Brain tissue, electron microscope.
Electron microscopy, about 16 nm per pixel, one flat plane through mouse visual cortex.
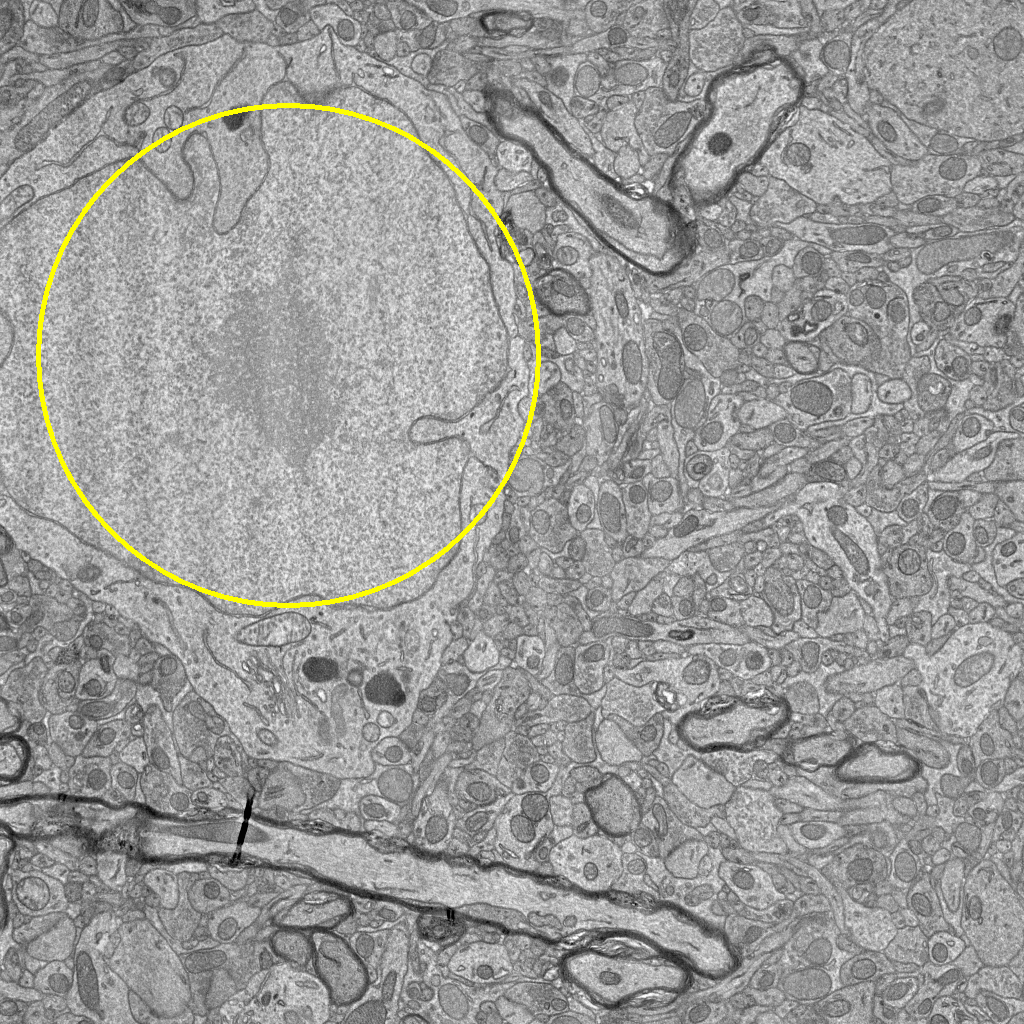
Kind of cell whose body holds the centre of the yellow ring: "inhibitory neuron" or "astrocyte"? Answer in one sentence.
The ring's centre falls on an inhibitory neuron.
